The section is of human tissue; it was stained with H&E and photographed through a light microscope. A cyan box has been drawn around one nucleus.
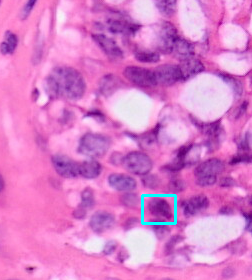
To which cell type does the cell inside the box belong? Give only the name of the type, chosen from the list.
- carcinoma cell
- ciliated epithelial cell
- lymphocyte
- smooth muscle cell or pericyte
ciliated epithelial cell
